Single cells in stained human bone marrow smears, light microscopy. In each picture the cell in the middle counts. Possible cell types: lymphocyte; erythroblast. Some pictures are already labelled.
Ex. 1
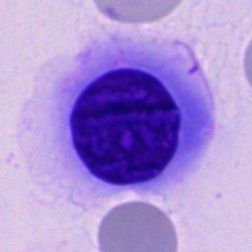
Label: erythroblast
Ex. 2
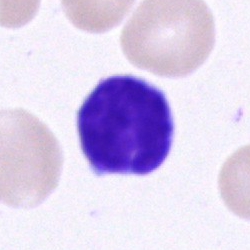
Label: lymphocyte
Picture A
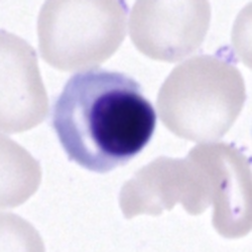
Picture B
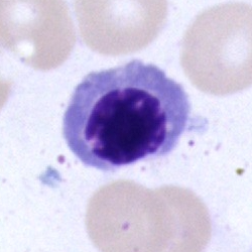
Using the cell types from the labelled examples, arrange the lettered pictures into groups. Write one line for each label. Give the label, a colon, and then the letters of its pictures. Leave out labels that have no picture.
erythroblast: A, B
